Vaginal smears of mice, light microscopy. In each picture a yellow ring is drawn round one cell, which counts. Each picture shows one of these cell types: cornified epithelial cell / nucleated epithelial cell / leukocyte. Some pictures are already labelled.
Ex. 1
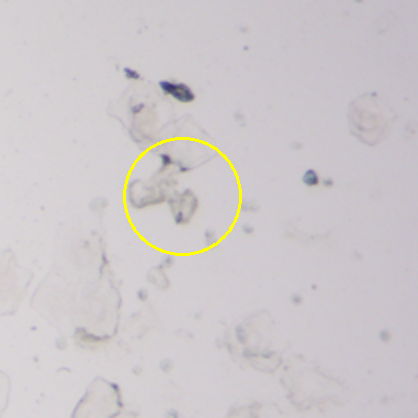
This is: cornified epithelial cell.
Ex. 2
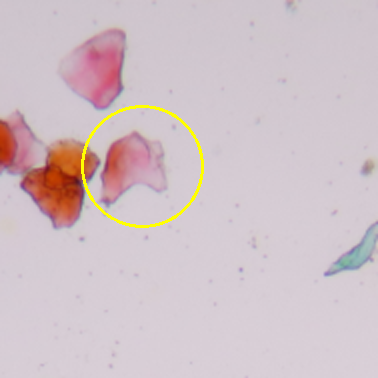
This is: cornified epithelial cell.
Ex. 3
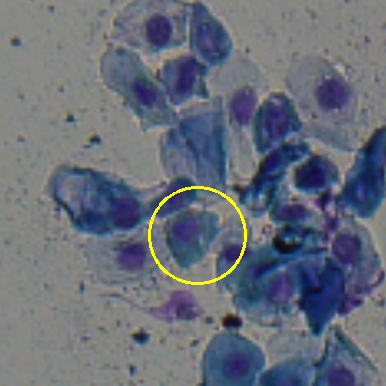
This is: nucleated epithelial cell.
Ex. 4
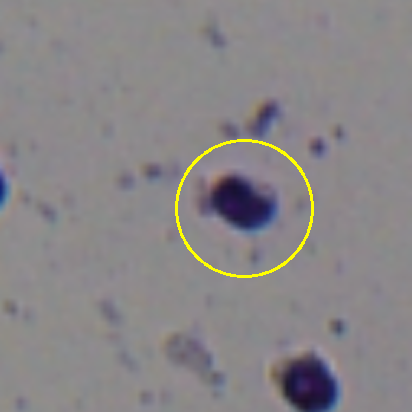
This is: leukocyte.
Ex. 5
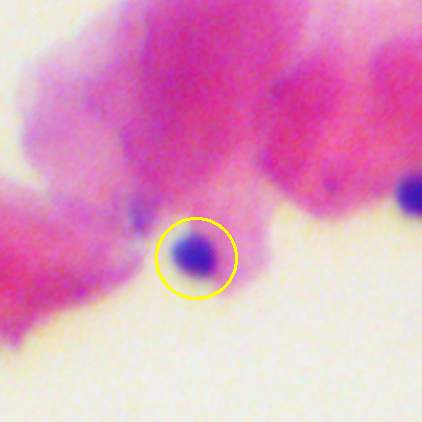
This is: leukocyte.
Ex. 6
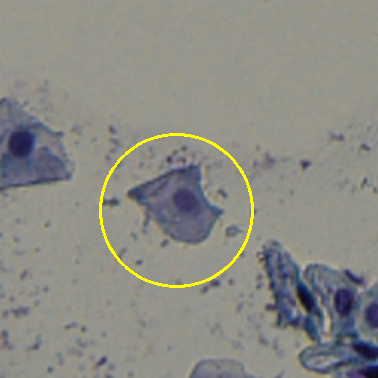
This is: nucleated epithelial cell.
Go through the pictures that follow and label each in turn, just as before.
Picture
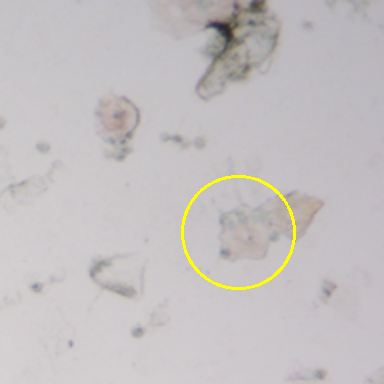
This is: cornified epithelial cell.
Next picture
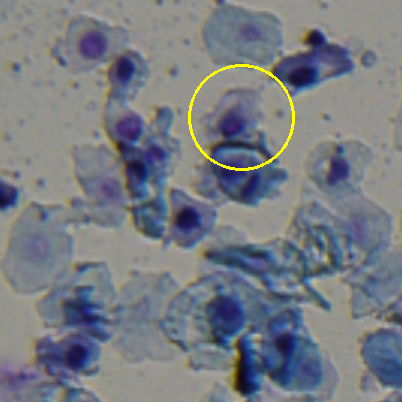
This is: nucleated epithelial cell.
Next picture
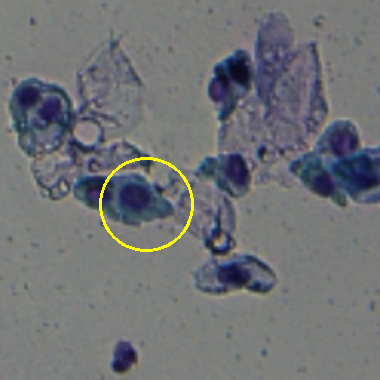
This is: nucleated epithelial cell.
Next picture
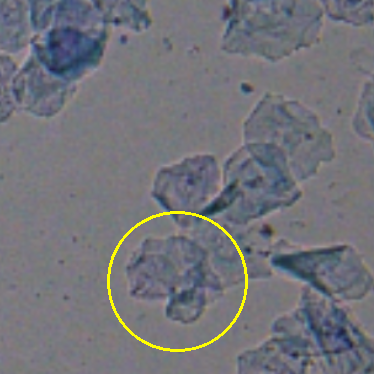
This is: cornified epithelial cell.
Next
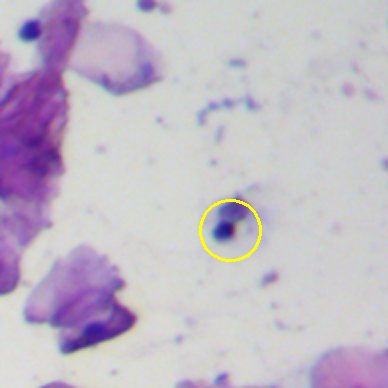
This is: leukocyte.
